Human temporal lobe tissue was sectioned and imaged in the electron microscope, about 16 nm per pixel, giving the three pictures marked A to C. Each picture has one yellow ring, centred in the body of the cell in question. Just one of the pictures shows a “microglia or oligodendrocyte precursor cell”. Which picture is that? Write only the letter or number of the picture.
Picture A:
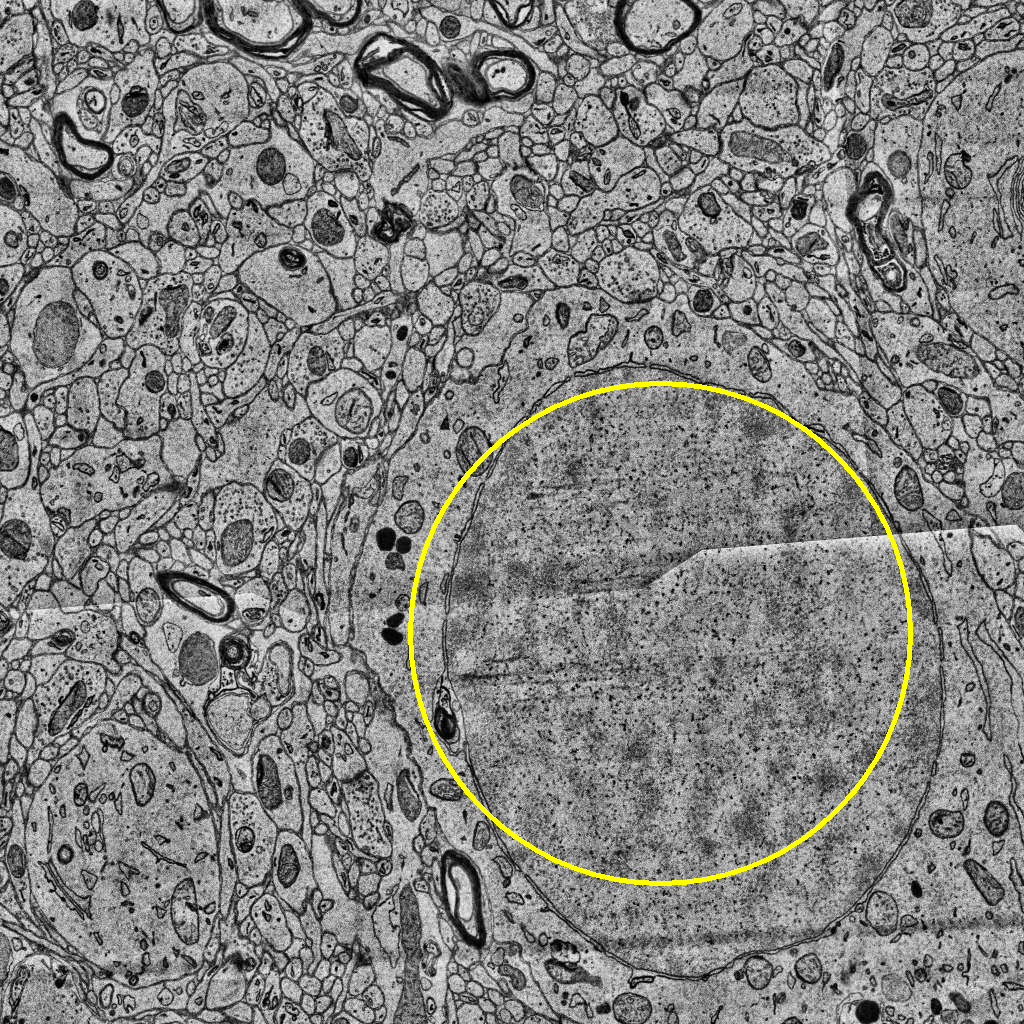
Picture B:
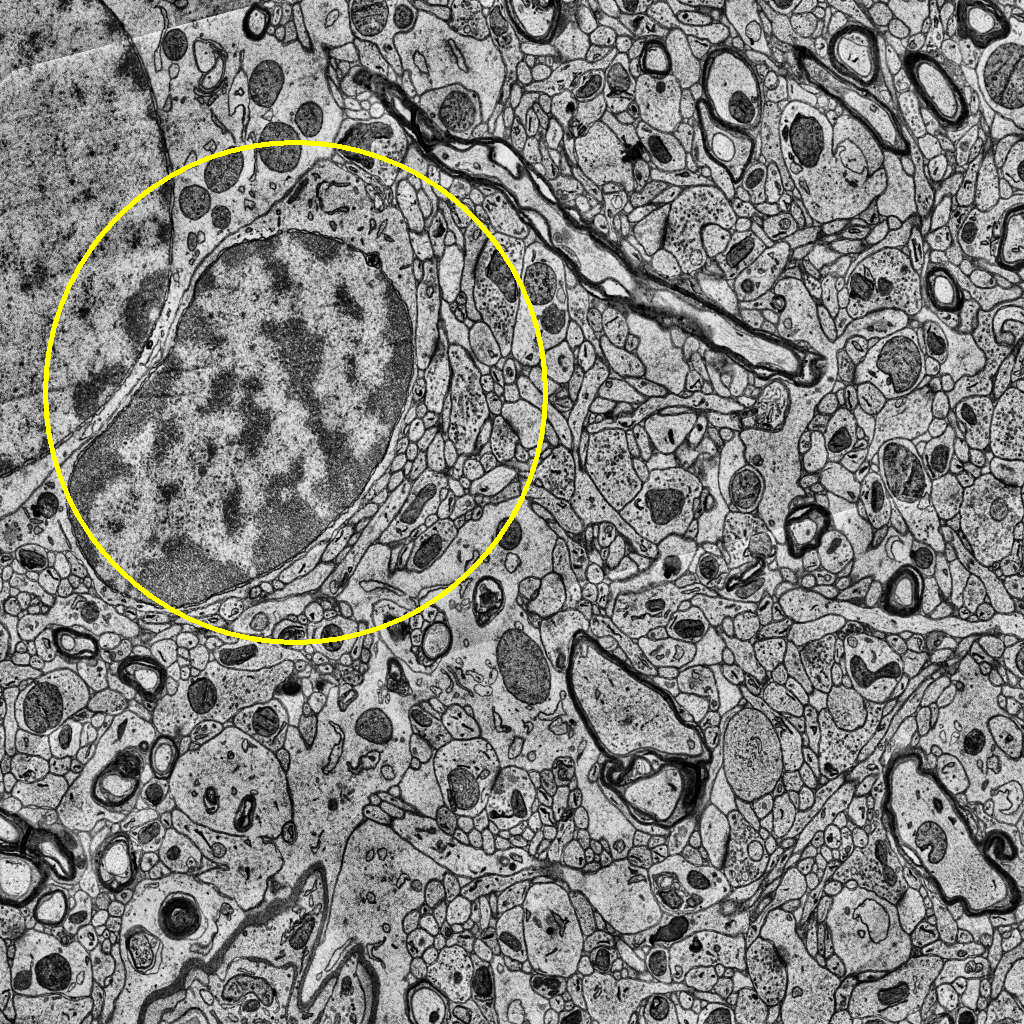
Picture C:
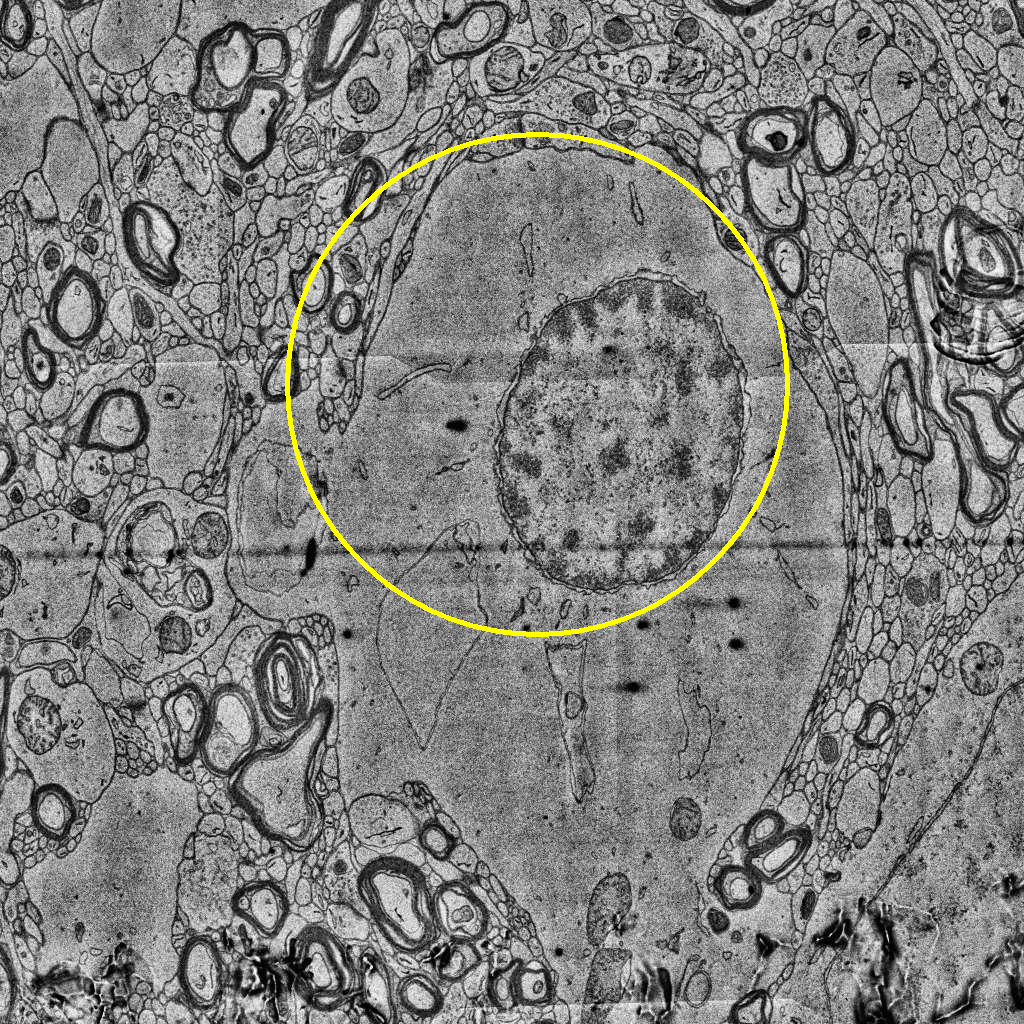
B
